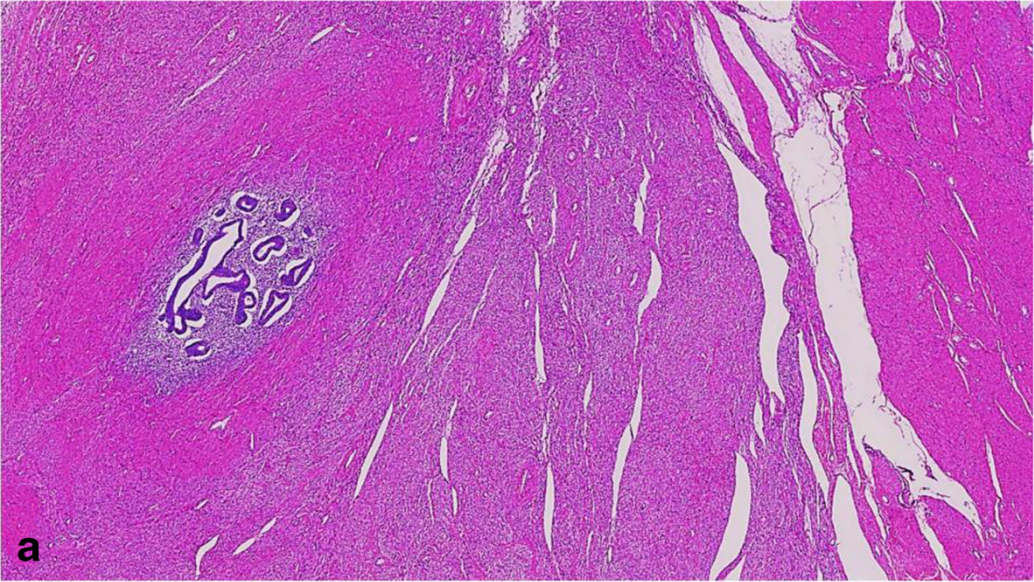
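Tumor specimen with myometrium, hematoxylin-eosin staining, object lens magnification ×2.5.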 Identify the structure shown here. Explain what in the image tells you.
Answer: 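A cluster of small tubular and branching gland lumens lies in the left part of the panel. The glands are lined by a dark purple epithelium. They sit in a bluish cellular stroma set within pink muscle tissue. On this evidence: endometrial glands.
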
